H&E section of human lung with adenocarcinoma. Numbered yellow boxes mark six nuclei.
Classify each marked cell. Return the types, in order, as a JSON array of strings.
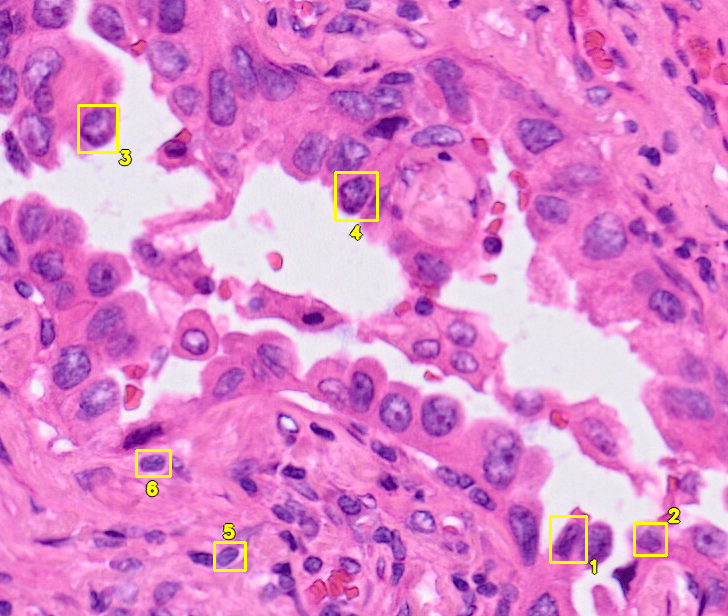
["carcinoma cell", "carcinoma cell", "carcinoma cell", "carcinoma cell", "lymphocyte", "lymphocyte"]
